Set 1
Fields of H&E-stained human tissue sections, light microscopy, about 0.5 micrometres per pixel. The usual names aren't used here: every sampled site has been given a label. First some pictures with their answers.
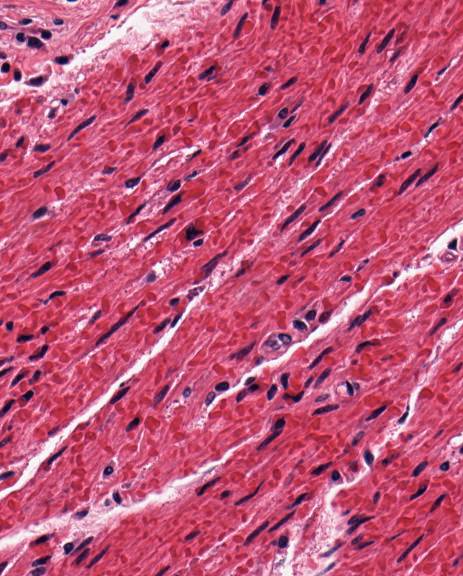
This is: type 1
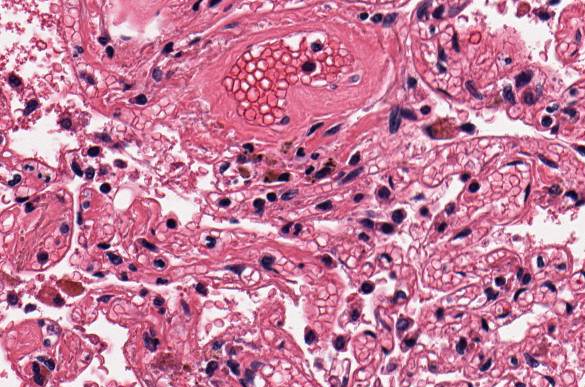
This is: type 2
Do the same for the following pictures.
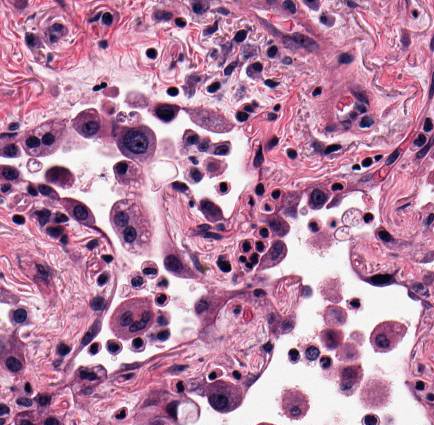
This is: type 2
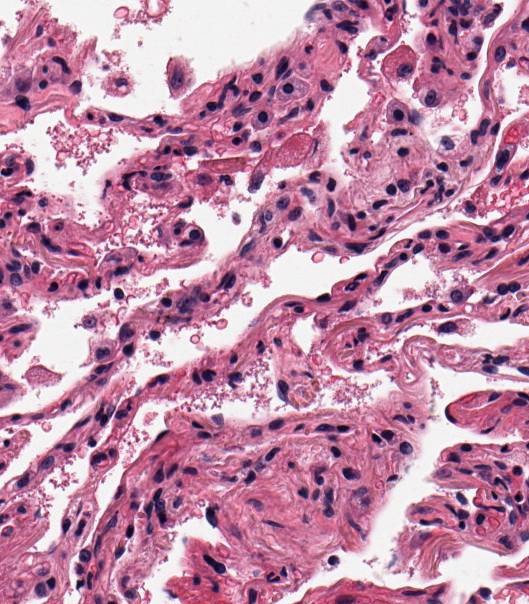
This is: type 2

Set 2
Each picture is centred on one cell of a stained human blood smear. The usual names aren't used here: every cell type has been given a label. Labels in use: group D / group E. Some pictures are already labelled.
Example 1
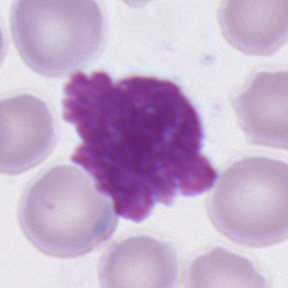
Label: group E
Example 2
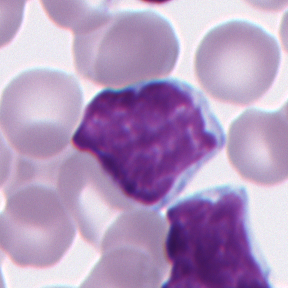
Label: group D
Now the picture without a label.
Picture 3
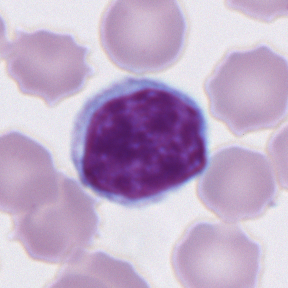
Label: group D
